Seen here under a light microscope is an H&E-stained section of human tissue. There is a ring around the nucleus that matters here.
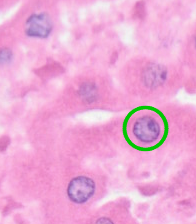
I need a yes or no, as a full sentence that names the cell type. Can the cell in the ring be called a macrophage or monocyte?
No, not a macrophage or monocyte: the cell in the ring is a proximal tubule cell.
